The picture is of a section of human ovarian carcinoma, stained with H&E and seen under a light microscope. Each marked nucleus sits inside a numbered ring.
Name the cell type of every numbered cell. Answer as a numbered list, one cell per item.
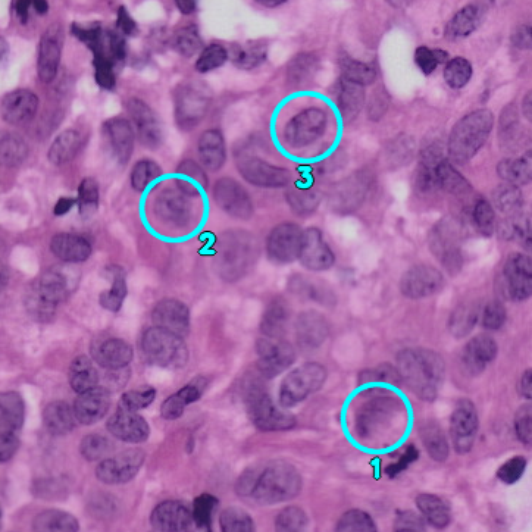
1. carcinoma cell
2. carcinoma cell
3. macrophage or monocyte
